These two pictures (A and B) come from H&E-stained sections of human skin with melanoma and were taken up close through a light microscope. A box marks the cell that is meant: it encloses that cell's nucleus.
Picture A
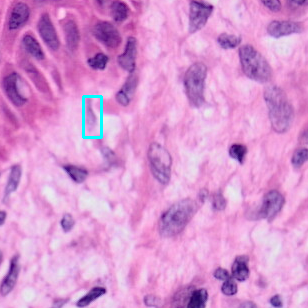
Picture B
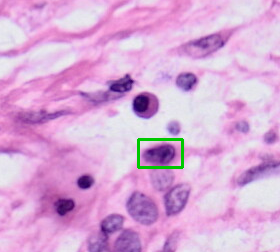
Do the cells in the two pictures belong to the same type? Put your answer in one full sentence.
No, the types are not the same, since picture A shows a “fibroblast or myofibroblast” and picture B a “macrophage or monocyte”.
